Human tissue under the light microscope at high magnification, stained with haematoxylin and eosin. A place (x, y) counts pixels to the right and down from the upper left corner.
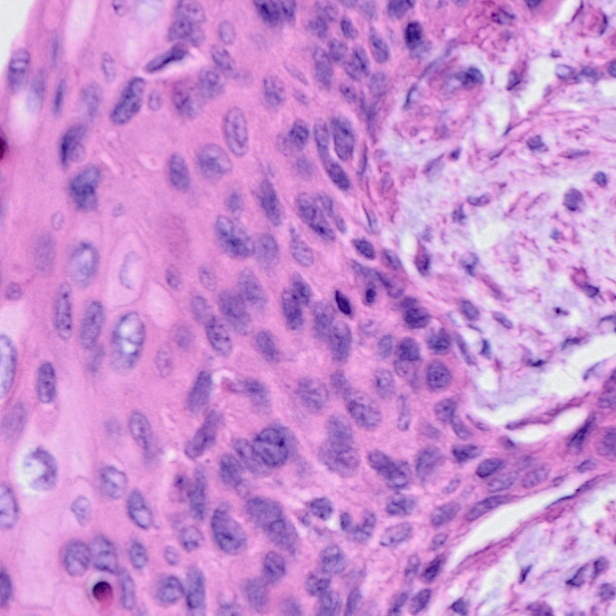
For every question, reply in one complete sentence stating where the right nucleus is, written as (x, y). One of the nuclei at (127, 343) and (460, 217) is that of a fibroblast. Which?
The cell to which the nucleus at (460, 217) belongs is a fibroblast.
